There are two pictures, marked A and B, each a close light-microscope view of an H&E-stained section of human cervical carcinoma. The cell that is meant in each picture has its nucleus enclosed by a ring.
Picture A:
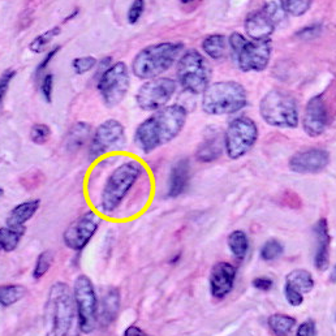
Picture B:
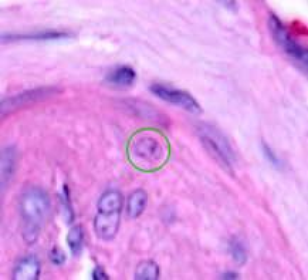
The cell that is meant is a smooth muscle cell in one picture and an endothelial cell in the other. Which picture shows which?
A: endothelial cell
B: smooth muscle cell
